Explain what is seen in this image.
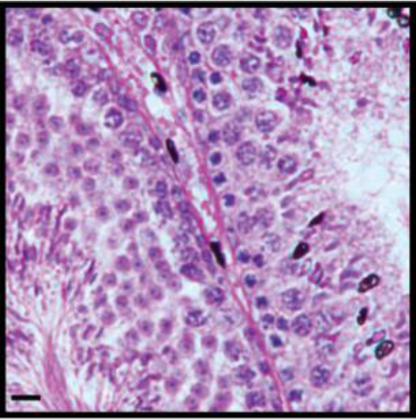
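This is an enlarged view of testis tissue where a thin pink boundary runs diagonally between two adjacent tubules. Along this boundary lie layers of rounded cells, many with large, round, pale nuclei containing visible purple chromatin. A few small, very dark, compact, elongated bodies lie among the cells near the boundary and scattered in the epithelium. A pale lumen with fine pink strands is visible at the upper right, and another lies at the lower left. The cytoplasm is pale pink to lilac, and the cells are densely packed.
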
